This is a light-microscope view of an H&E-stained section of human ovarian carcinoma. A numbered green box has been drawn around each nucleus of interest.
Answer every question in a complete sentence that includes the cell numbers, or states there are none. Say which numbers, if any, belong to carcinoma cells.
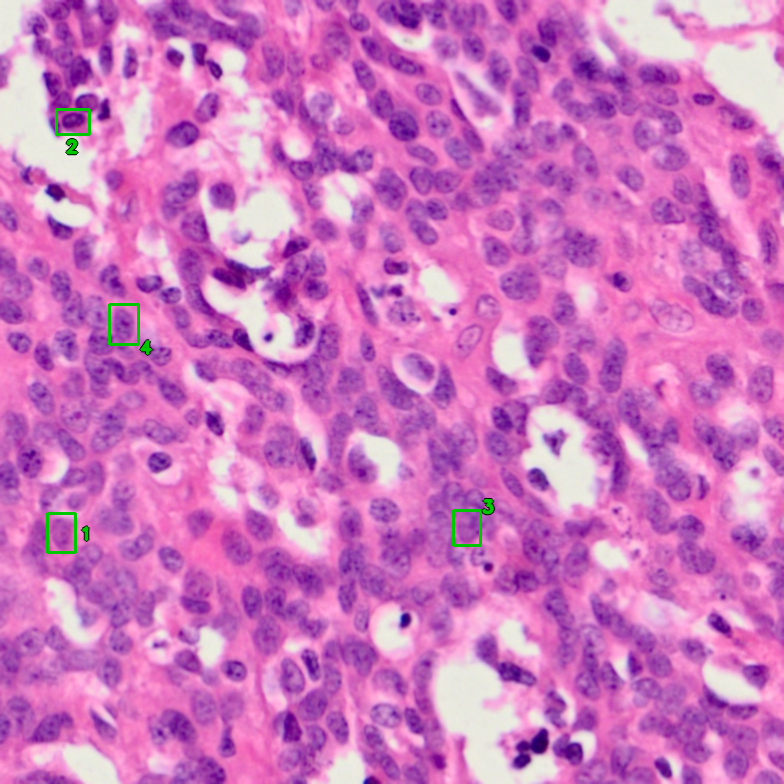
The cells that have numbers 1, 3 and 4 are carcinoma cells.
